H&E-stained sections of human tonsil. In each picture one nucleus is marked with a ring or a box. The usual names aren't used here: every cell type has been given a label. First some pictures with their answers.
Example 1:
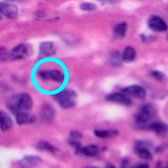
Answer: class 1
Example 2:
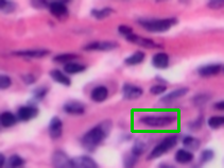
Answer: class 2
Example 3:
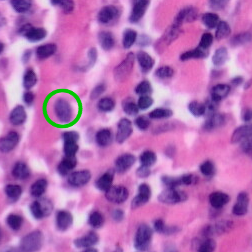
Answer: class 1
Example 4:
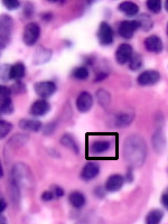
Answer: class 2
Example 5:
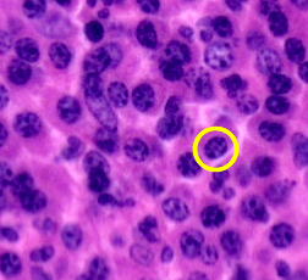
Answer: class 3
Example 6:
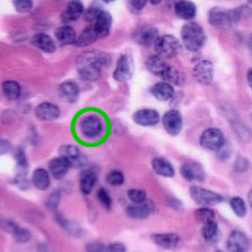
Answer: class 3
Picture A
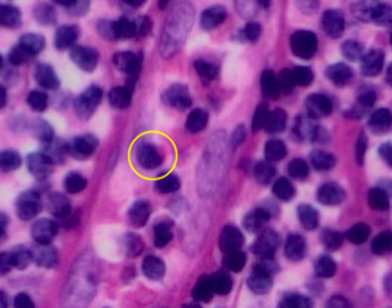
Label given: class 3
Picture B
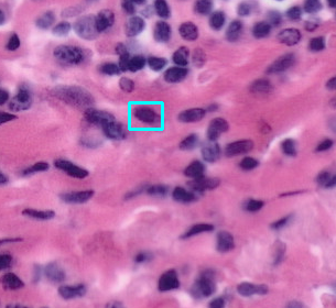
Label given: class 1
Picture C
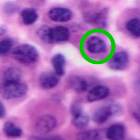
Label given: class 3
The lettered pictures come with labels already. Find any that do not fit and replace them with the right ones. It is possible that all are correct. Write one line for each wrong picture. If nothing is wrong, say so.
A should be class 2, not class 3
